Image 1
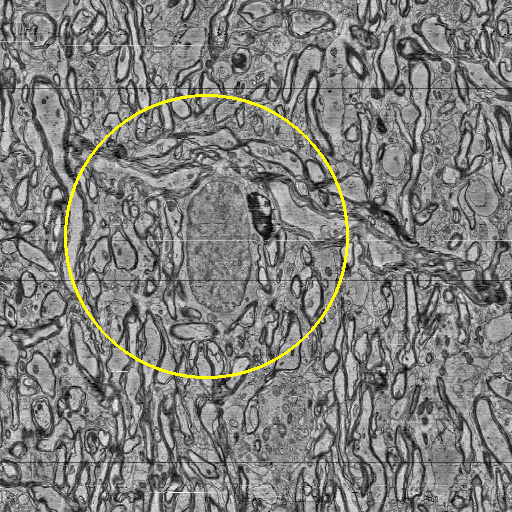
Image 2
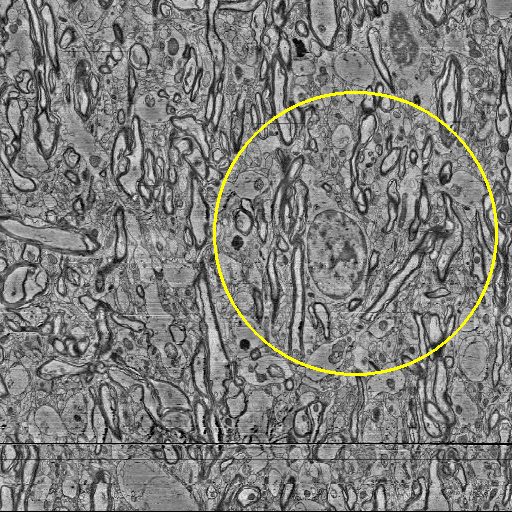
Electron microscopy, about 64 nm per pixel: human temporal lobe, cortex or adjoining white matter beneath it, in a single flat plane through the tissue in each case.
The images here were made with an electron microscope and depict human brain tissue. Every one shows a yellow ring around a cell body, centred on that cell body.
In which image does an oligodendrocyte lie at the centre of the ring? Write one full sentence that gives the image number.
My answer is image 1, where the asked-for cell sits at the centre of the ring.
